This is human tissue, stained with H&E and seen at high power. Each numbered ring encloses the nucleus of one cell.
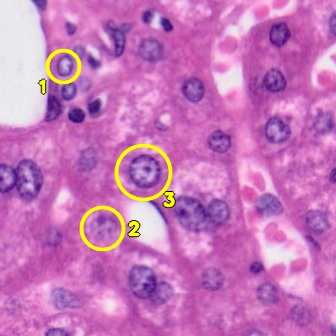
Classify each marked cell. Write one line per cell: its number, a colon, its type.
1: cholangiocyte
2: hepatocyte
3: hepatocyte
